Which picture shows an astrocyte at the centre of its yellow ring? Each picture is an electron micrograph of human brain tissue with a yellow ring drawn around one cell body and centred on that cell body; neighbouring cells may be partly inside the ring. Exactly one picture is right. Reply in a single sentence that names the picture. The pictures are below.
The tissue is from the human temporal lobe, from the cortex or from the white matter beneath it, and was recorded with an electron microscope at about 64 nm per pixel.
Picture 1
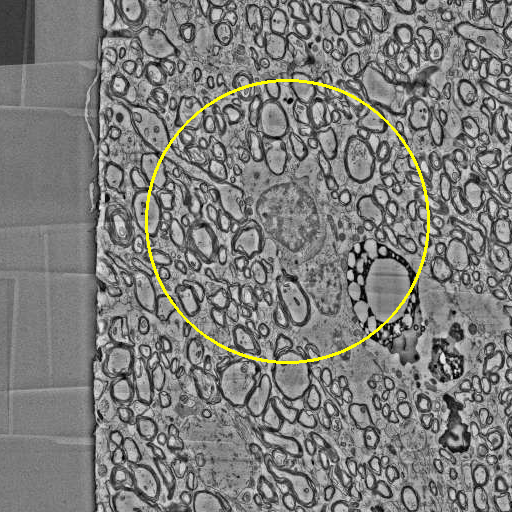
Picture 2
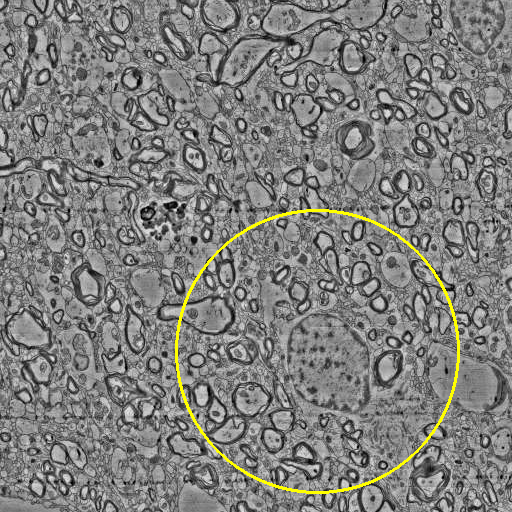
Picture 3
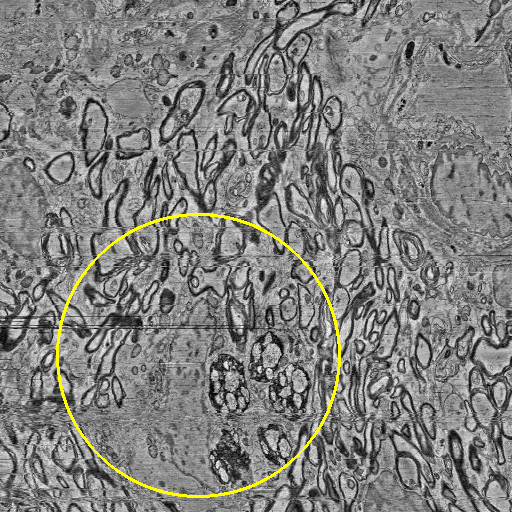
Picture 3 shows it.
